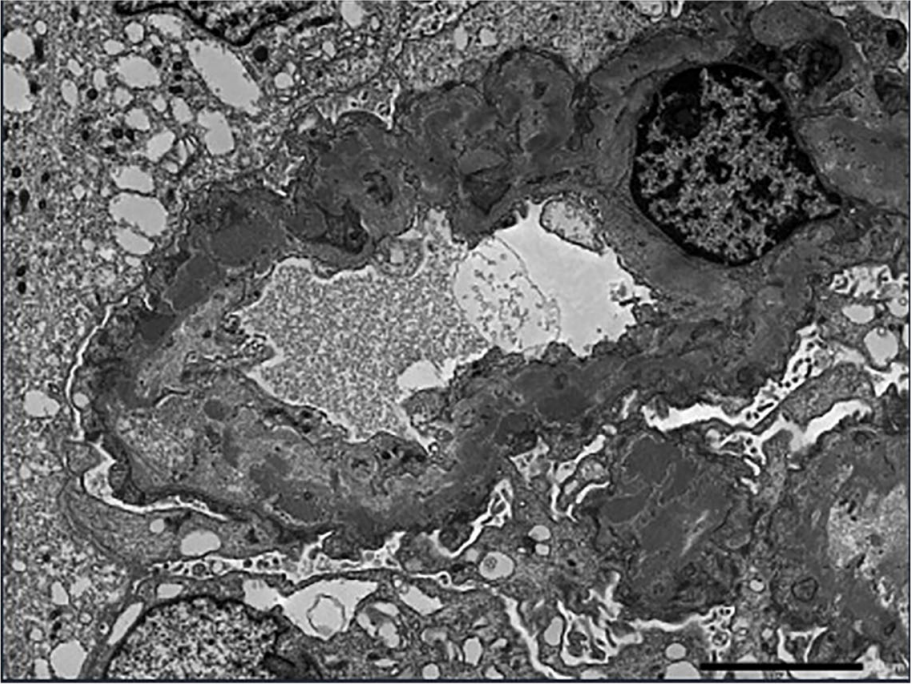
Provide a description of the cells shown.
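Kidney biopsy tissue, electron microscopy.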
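This is a glomerular capillary loop seen by electron microscopy, with a pale, open lumen in the centre. A cell with a dark, clumped nucleus sits at the upper right of the loop, and the cytoplasm of the covering epithelial cells, with many pale vacuoles, surrounds the loop.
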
